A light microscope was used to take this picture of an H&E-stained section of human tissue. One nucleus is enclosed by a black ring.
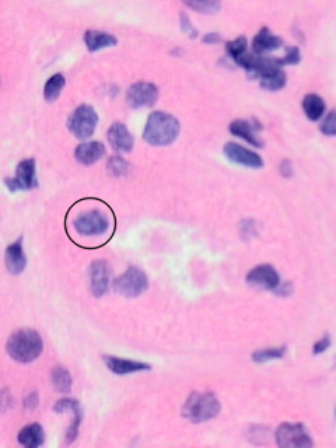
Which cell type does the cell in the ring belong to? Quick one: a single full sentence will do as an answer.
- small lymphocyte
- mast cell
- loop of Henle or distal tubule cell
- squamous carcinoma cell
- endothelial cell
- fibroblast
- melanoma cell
On this particular slide, the cell in the ring is a loop of Henle or distal tubule cell.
